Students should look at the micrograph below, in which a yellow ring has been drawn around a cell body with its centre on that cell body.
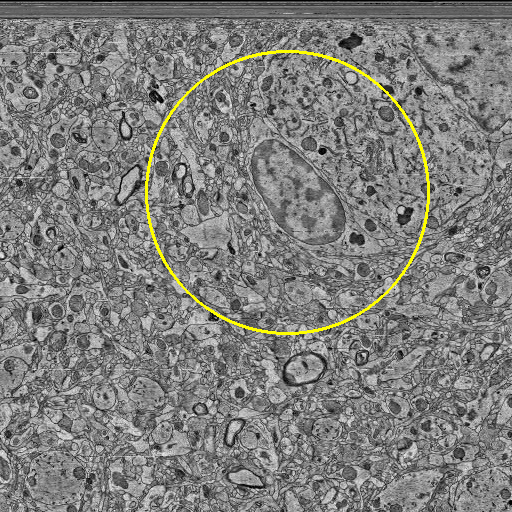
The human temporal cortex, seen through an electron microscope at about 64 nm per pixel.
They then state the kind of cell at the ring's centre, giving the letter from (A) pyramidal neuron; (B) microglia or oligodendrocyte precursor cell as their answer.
B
